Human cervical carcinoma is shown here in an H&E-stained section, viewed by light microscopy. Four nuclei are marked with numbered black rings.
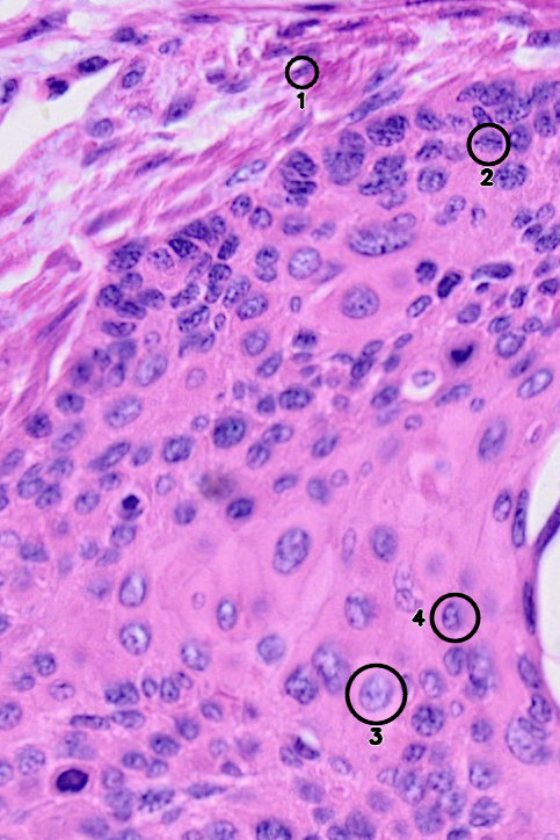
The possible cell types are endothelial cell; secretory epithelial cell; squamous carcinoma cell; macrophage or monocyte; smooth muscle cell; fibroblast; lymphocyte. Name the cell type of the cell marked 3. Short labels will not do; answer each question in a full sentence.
The label 3 in this section denotes a squamous carcinoma cell.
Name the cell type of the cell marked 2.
It is as a squamous carcinoma cell that the cell numbered 2 is identified.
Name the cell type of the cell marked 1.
Numbered cell 1 is a fibroblast in this tissue section.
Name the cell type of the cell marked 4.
Number 4 is placed on a squamous carcinoma cell here.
